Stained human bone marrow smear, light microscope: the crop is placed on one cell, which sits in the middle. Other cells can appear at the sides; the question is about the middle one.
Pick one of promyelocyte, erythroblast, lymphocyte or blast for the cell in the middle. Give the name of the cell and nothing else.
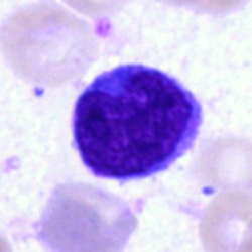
blast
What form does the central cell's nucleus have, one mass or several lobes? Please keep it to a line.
One compact mass makes up the whole nucleus, round, oval or kidney-shaped.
